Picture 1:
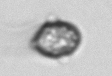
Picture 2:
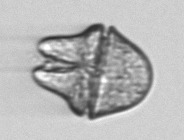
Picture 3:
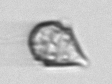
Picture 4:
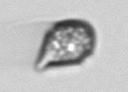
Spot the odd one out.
Picture 2 (Akashiwo among Scrippsiella).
